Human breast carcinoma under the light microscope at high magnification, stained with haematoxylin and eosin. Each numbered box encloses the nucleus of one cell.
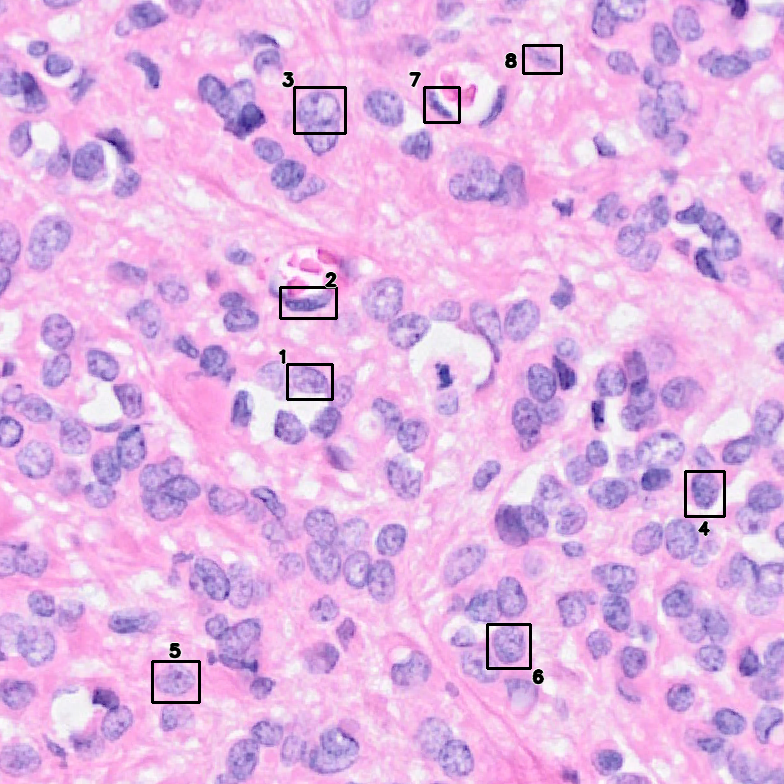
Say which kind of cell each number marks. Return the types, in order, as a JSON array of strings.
["carcinoma cell", "endothelial cell", "carcinoma cell", "carcinoma cell", "carcinoma cell", "carcinoma cell", "endothelial cell", "fibroblast"]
